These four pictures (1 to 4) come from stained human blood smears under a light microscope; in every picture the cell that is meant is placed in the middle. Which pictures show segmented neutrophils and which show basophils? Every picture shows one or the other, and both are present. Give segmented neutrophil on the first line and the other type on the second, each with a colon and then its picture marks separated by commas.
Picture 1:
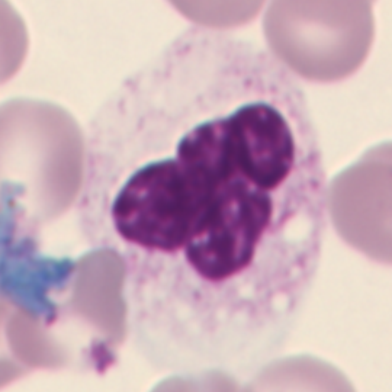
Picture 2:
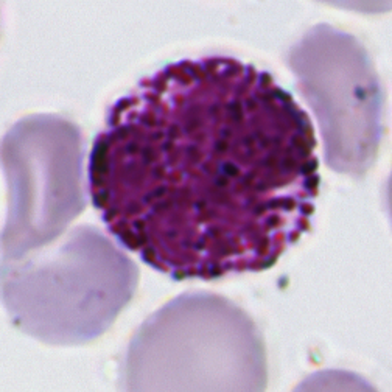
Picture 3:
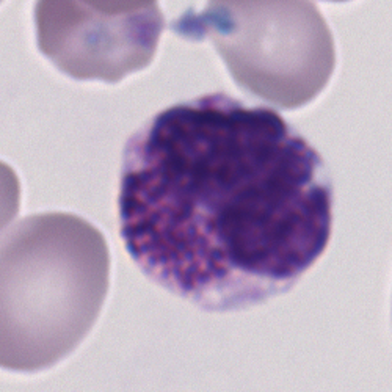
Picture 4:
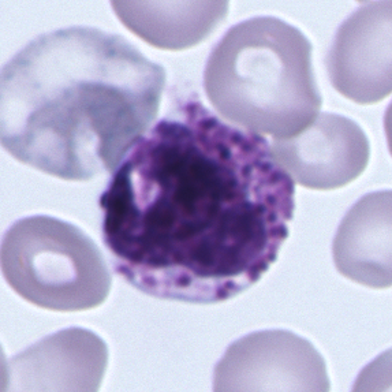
segmented neutrophil: 1
basophil: 2, 3, 4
